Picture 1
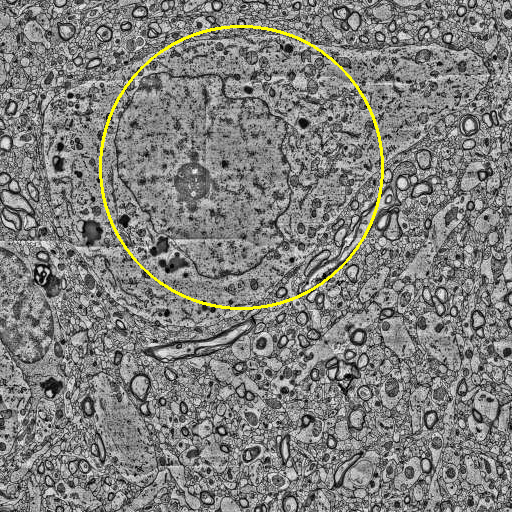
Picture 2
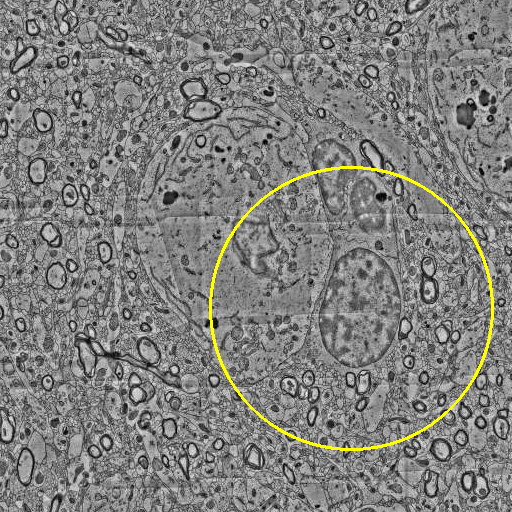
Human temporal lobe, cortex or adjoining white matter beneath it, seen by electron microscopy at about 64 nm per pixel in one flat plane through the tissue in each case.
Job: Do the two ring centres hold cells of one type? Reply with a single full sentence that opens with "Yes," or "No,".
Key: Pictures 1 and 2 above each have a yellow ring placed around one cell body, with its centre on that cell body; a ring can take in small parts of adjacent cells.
No, the cells at the two ring centres are of two separate types.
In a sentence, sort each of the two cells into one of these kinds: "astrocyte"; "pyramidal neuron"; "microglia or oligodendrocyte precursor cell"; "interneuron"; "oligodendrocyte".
The first of the two cells is a pyramidal neuron, and the second is an oligodendrocyte.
